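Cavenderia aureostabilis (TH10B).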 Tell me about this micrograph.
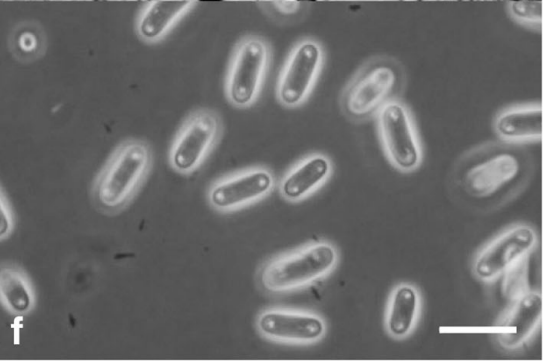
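Small bright granules sit at the poles of each spore, mostly a single distinct dot at each end. The spores lie loosely, in various orientations, some touching one another.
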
